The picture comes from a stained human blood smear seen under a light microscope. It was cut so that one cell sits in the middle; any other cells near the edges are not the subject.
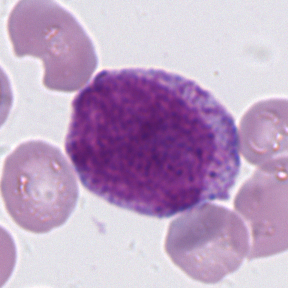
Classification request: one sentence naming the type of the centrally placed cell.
In the central position of this crop, the cell is a promyelocyte.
